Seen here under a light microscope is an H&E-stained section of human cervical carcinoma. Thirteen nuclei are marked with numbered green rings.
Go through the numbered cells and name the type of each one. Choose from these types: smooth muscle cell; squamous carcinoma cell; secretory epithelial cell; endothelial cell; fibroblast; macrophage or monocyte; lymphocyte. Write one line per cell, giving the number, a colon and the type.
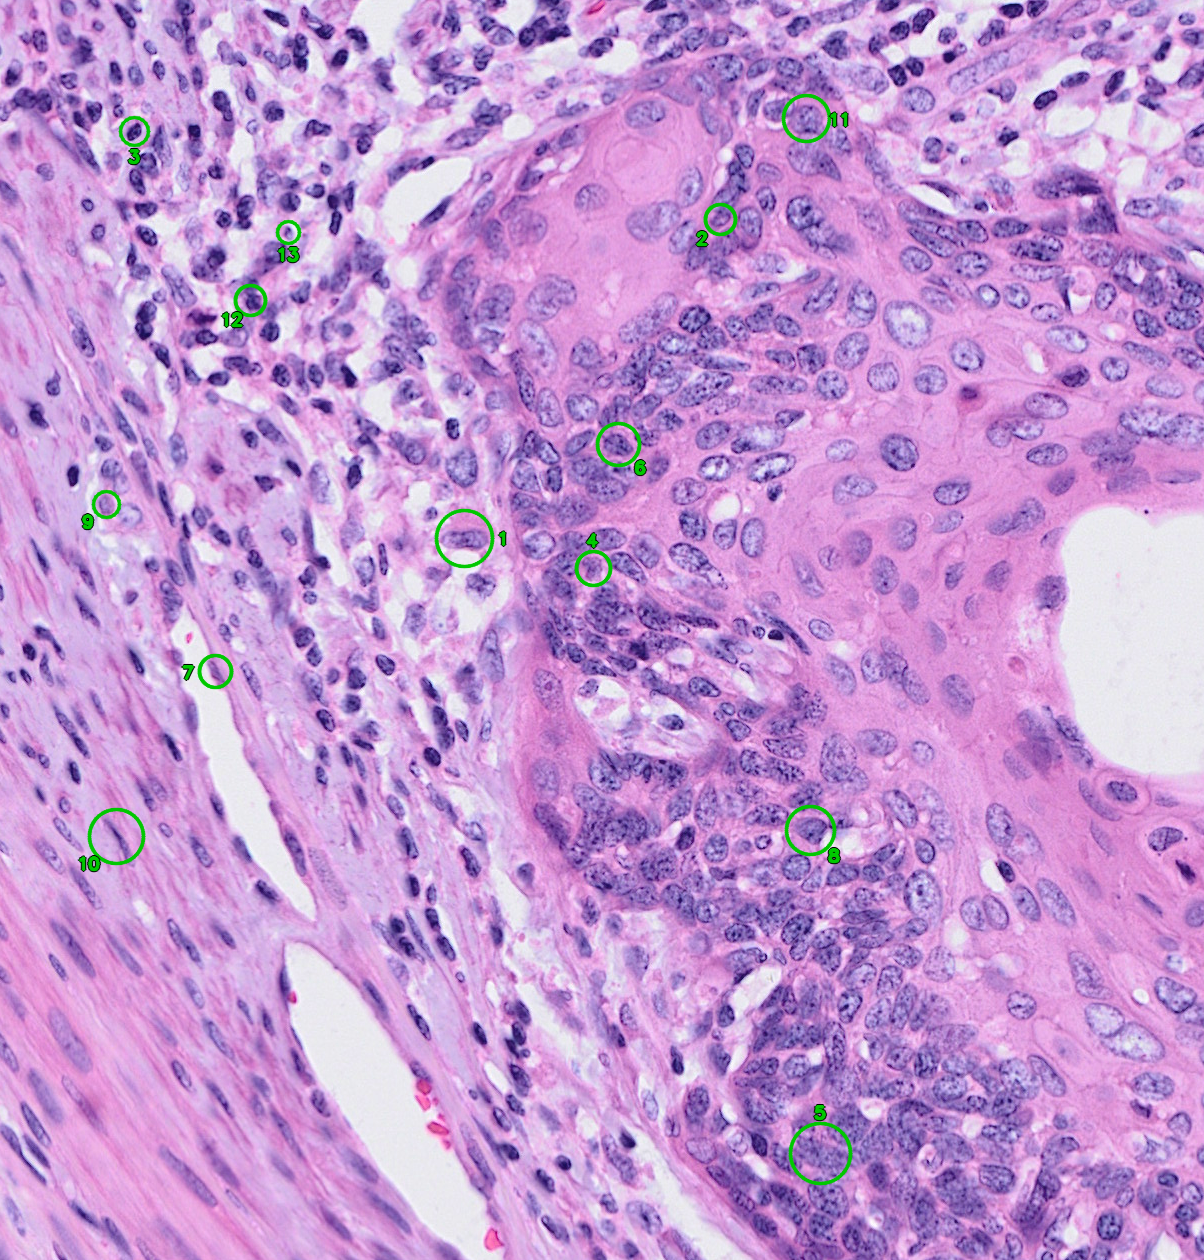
1: macrophage or monocyte
2: squamous carcinoma cell
3: lymphocyte
4: squamous carcinoma cell
5: squamous carcinoma cell
6: squamous carcinoma cell
7: endothelial cell
8: squamous carcinoma cell
9: endothelial cell
10: smooth muscle cell
11: squamous carcinoma cell
12: lymphocyte
13: lymphocyte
